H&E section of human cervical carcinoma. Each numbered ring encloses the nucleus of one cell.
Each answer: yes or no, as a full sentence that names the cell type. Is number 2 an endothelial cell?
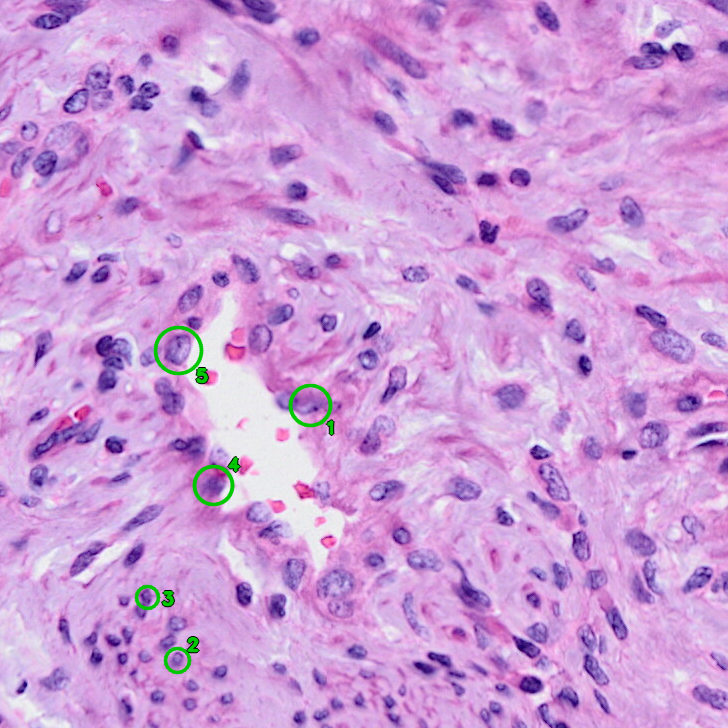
No, the identification of cell 2 as an endothelial cell is incorrect; it is a smooth muscle cell.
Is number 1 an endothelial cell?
Yes, and to answer plainly, cell 1 is an endothelial cell.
